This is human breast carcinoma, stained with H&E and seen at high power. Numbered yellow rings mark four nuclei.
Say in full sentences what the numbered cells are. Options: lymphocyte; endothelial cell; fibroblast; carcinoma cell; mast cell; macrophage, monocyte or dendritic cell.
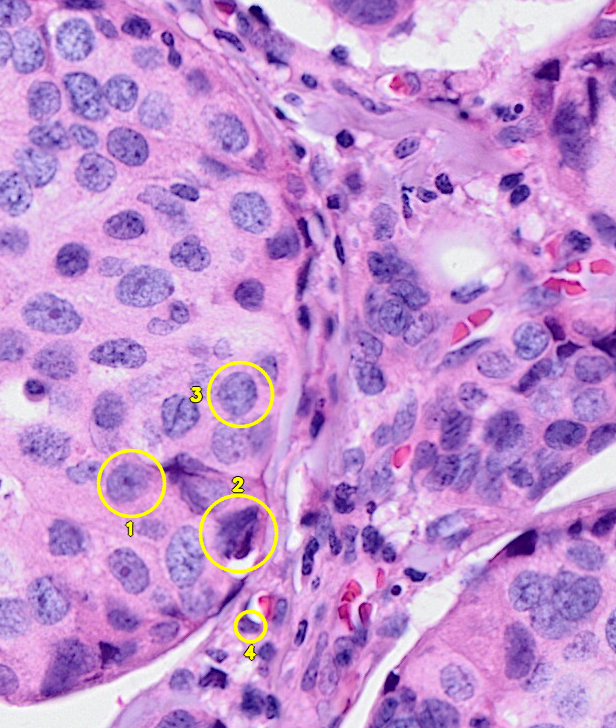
Cell 1 is a carcinoma cell, cell 2 is a carcinoma cell, cell 3 is a carcinoma cell and cell 4 is an endothelial cell.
